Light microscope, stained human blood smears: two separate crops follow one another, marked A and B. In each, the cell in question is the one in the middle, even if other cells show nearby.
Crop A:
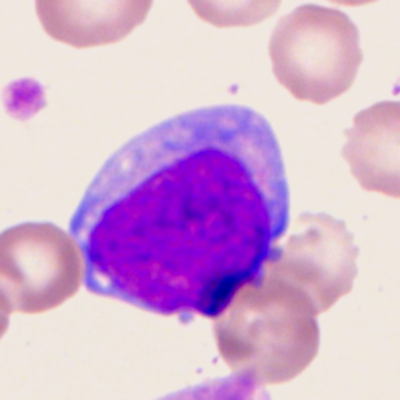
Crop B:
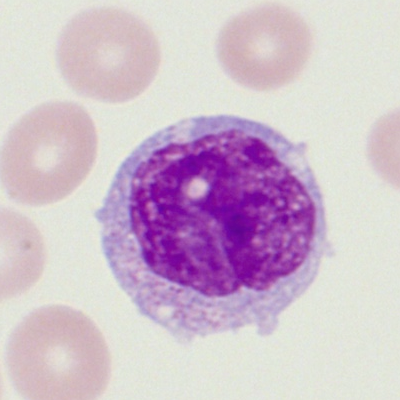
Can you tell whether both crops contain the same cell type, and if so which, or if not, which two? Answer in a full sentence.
No, crop A is to be identified as a blast and crop B as a monocyte.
